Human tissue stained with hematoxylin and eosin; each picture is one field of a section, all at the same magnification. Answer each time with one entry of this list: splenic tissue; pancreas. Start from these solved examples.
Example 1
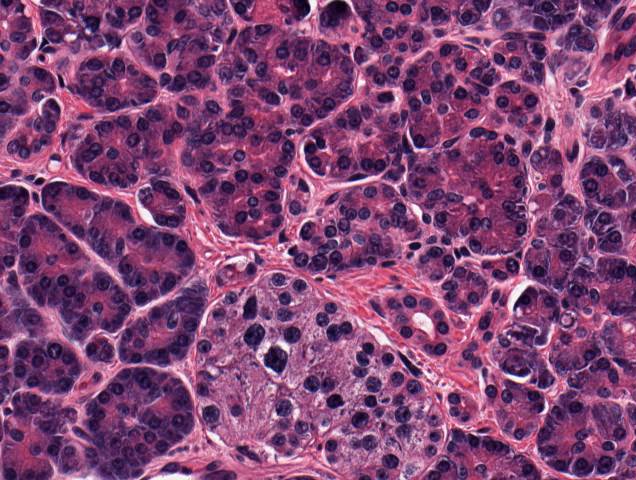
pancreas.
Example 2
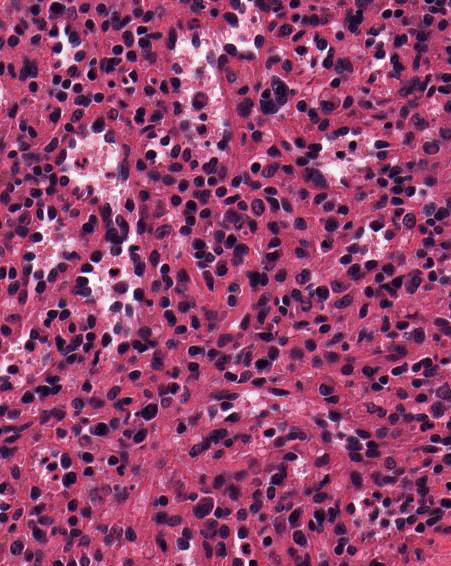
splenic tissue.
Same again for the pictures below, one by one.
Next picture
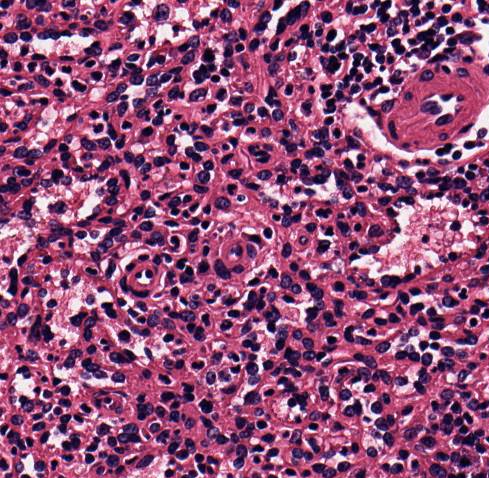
splenic tissue.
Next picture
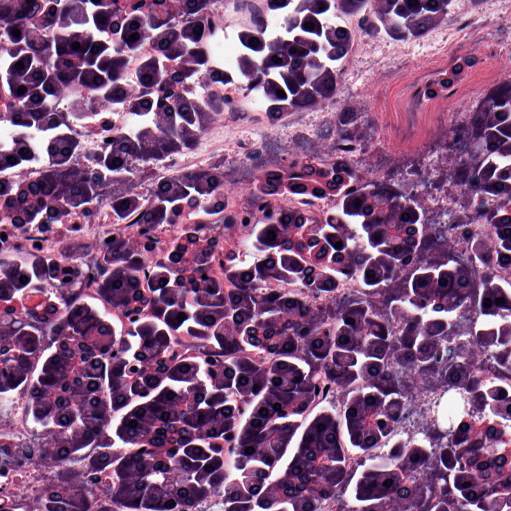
pancreas.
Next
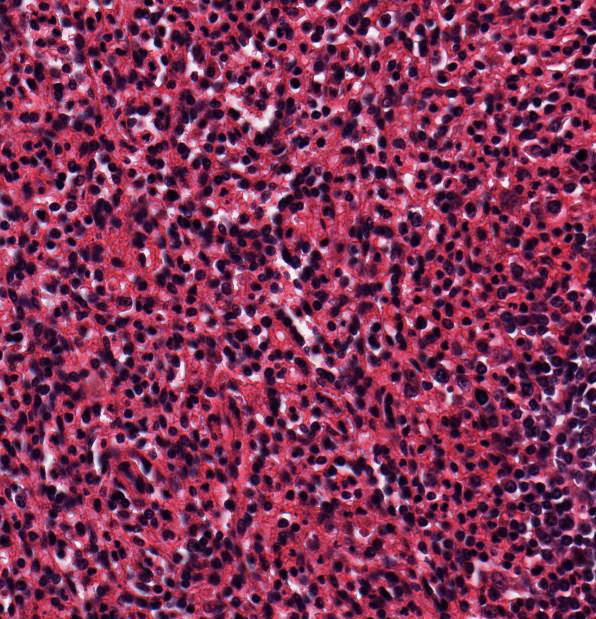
splenic tissue.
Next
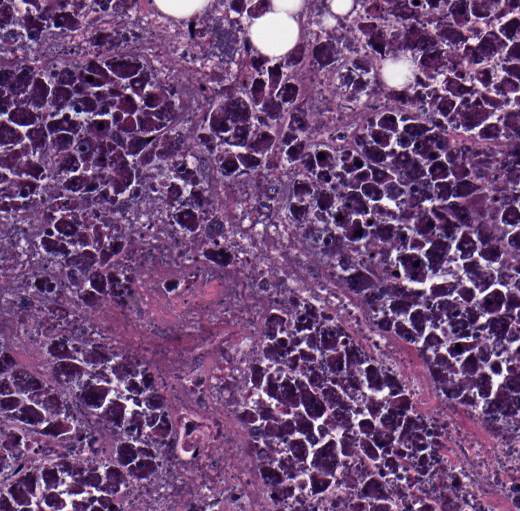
pancreas.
